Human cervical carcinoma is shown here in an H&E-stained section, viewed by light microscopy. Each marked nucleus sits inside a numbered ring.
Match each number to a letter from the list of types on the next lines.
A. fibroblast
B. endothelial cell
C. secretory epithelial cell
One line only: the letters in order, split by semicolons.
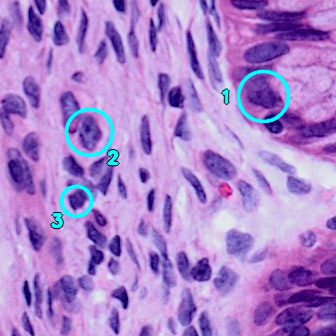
C; B; A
